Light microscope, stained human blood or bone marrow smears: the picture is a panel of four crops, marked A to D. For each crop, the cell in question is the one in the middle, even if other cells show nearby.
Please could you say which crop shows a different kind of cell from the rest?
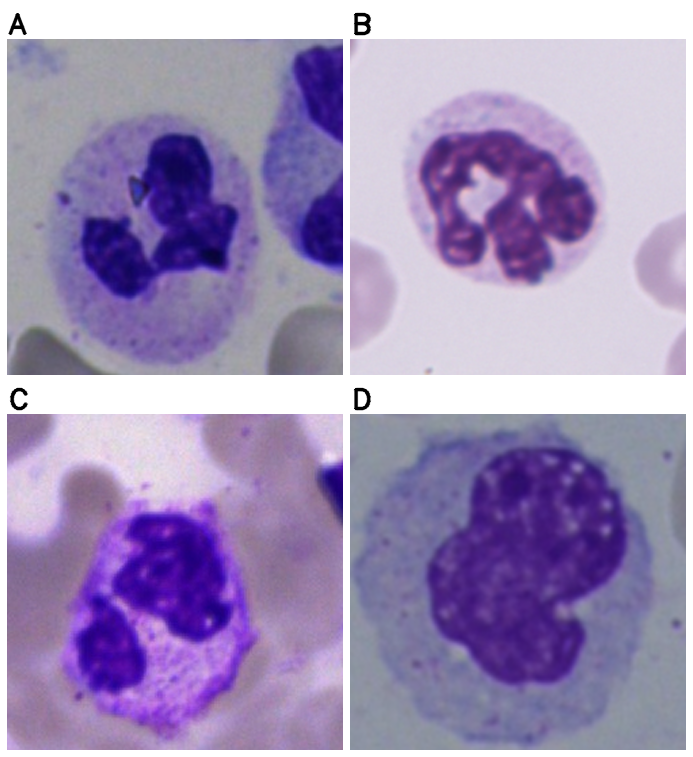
D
